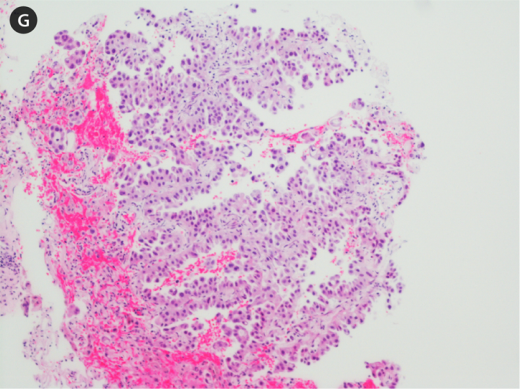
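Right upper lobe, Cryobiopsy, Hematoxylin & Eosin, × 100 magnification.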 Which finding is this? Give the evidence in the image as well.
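The nuclei are large relative to the cells. The nuclei differ from one another in size and shape. The nuclei are crowded. That points to this answer: enlarged and pleomorphic nuclei.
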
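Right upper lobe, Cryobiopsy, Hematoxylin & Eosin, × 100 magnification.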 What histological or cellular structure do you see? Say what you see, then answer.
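The cells are arranged around small lumens and slit-like spaces. The arrangement branches across the fragment.
Glandular pattern.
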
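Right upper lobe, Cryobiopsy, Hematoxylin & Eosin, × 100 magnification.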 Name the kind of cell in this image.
Tumour cells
